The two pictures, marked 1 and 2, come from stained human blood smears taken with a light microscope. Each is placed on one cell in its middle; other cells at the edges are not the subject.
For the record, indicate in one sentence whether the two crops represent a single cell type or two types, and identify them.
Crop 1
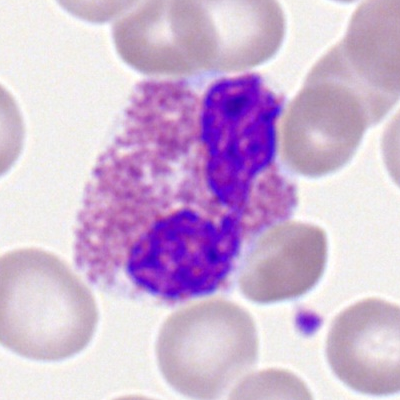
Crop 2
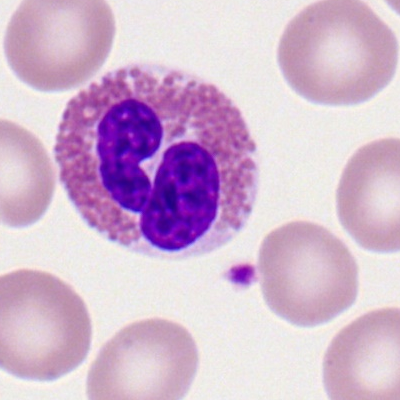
Yes, in the case of both crops, the central cells are eosinophils.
